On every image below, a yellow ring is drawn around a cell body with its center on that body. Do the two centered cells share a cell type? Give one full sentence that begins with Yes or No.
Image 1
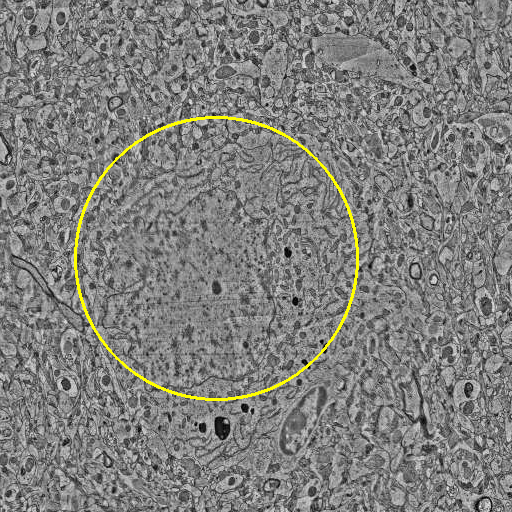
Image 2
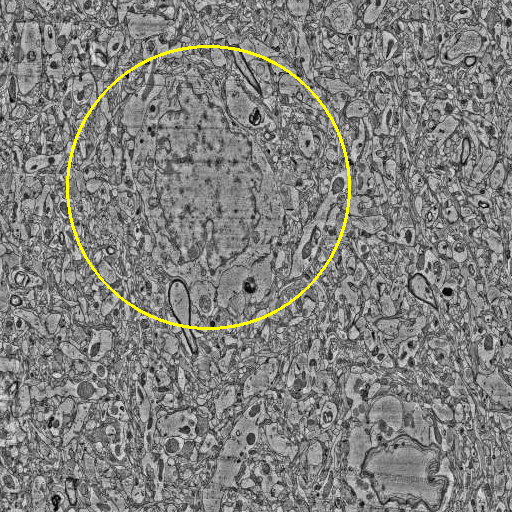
Yes, the centered cells in the two images are of a single cell type.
